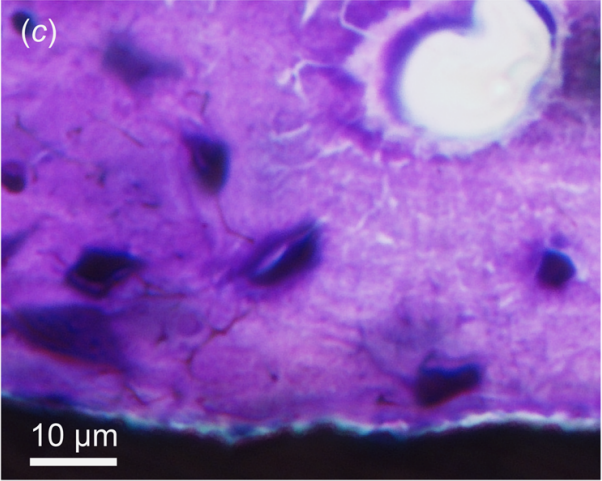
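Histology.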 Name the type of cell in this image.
Osteocytes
